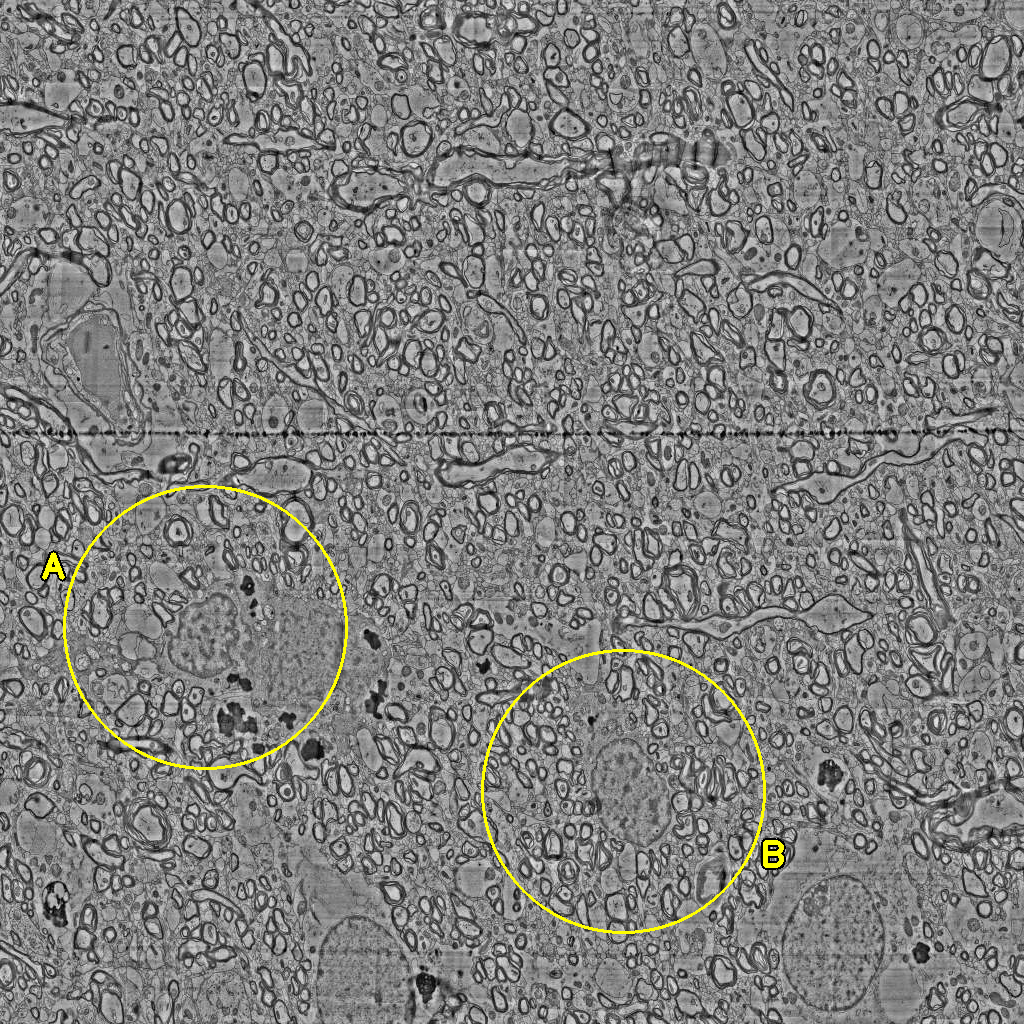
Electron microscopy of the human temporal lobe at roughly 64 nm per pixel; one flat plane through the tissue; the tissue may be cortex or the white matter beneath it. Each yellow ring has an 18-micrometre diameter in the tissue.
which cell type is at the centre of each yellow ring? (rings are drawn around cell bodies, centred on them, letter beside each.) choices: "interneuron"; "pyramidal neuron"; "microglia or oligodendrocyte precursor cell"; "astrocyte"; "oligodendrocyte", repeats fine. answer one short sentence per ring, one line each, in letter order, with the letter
Ring A is an oligodendrocyte.
Ring B is an oligodendrocyte.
